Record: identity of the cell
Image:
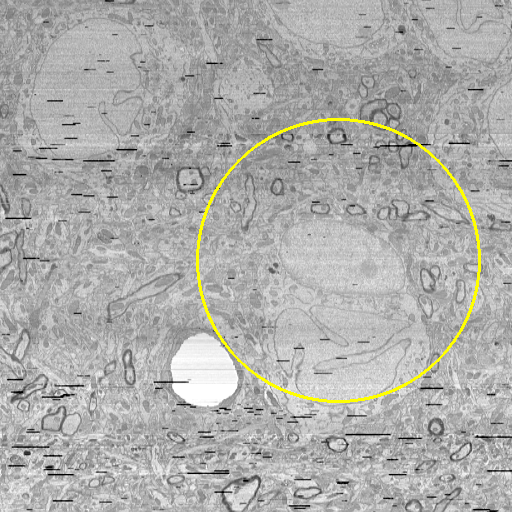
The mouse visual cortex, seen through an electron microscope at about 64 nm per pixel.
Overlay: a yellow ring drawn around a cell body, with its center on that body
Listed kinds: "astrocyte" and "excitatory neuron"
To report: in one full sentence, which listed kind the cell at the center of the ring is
In the image, the cell body at the ring's center belongs to an astrocyte.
